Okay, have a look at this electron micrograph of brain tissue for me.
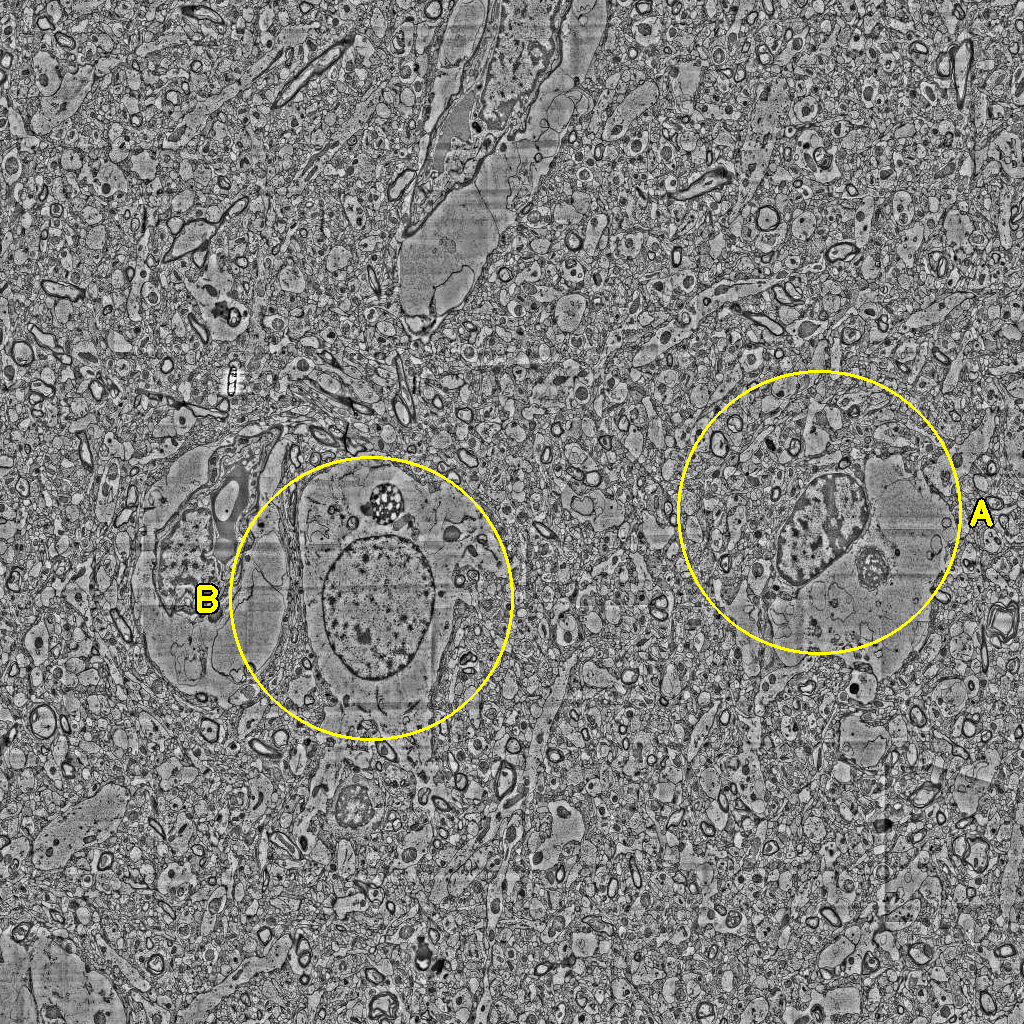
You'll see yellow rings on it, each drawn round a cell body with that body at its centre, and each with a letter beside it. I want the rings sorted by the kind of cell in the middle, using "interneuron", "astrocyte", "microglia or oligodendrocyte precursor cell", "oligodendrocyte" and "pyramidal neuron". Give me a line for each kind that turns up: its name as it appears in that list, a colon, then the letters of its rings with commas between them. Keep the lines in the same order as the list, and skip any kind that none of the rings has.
astrocyte: B
microglia or oligodendrocyte precursor cell: A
